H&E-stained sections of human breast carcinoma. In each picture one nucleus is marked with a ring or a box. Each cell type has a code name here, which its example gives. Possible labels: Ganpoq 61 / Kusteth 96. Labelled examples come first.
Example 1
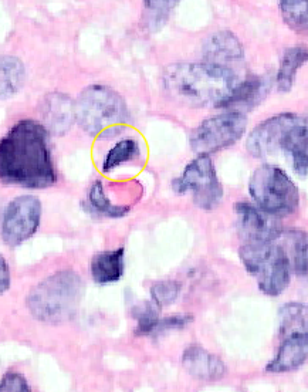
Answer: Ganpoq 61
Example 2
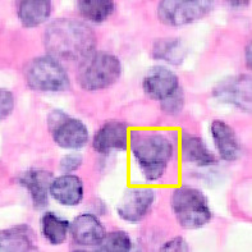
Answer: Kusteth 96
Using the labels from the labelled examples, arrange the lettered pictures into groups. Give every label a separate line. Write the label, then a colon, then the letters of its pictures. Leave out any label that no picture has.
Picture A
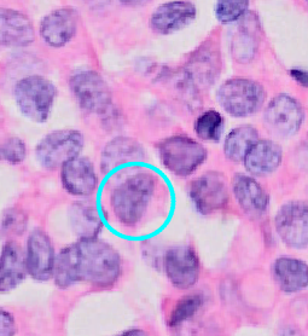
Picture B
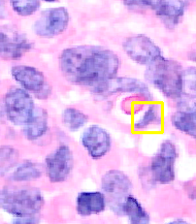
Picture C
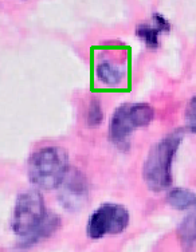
Ganpoq 61: B, C
Kusteth 96: A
